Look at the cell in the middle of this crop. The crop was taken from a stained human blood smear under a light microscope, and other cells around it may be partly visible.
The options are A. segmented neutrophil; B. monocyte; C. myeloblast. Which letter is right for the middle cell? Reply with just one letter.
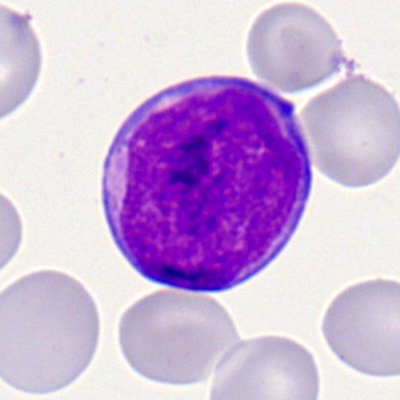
C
